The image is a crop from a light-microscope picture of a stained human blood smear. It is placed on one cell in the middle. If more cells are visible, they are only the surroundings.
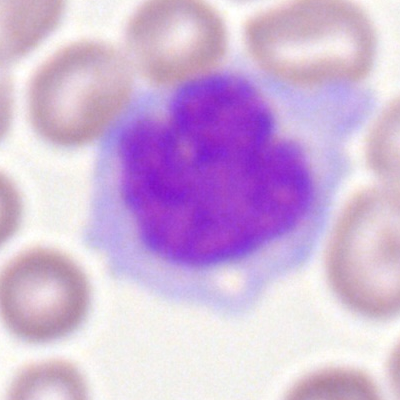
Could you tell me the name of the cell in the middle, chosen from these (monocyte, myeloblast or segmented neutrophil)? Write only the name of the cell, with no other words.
monocyte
